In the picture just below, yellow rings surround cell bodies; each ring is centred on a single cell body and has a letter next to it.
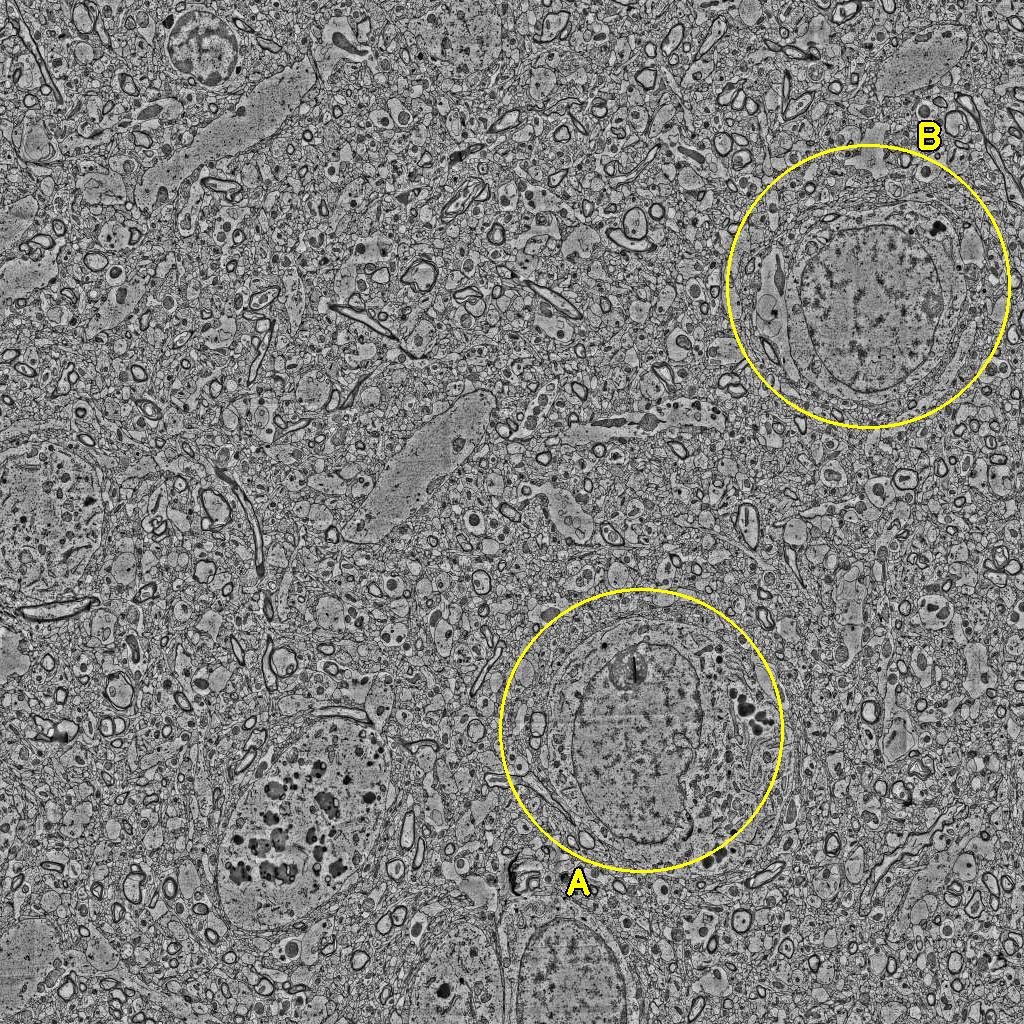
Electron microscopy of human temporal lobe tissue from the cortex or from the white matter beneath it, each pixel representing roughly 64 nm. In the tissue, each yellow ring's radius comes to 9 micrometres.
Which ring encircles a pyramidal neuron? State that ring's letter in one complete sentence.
The letter B marks the ring centred on the cell asked for in the picture.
